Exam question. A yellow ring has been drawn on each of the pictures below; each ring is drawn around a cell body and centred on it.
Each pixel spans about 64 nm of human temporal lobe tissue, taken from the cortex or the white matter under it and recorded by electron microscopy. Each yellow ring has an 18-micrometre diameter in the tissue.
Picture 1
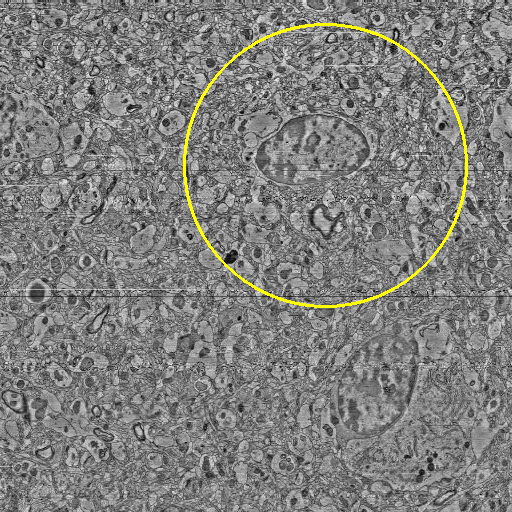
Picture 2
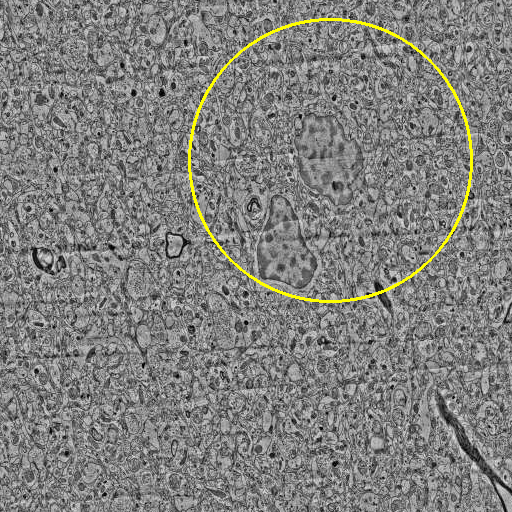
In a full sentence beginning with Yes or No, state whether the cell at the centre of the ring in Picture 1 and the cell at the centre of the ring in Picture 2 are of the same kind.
No, the cells are of two kinds.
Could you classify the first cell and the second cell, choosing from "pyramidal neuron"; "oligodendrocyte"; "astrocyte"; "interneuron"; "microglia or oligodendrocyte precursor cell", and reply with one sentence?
The second cell is an oligodendrocyte, while the first is a microglial cell or oligodendrocyte precursor cell.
